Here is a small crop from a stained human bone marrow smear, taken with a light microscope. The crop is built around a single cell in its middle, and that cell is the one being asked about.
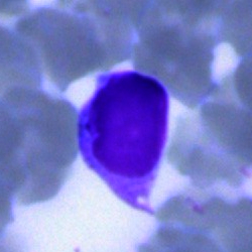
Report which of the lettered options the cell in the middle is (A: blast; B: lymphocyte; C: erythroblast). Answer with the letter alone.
B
